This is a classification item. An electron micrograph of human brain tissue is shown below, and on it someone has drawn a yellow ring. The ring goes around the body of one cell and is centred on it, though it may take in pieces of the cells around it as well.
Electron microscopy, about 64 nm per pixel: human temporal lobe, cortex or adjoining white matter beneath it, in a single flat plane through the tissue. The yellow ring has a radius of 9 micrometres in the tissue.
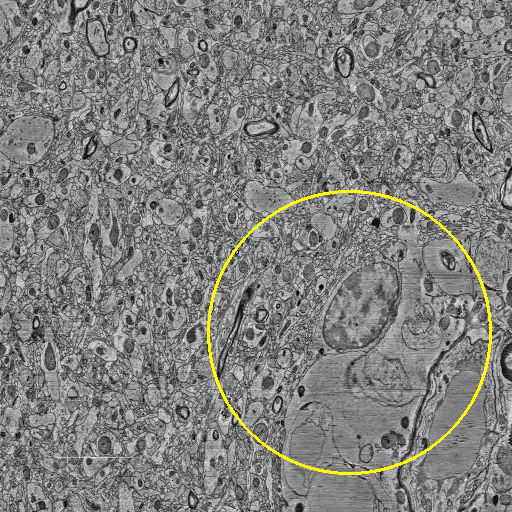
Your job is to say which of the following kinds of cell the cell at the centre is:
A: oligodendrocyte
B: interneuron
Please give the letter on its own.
A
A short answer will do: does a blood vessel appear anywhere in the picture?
Yes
